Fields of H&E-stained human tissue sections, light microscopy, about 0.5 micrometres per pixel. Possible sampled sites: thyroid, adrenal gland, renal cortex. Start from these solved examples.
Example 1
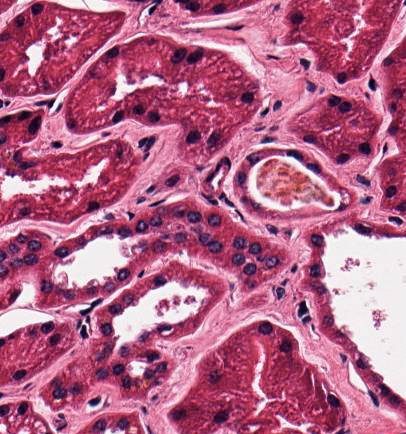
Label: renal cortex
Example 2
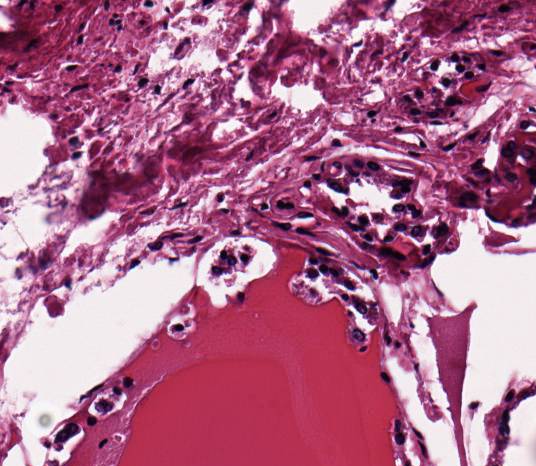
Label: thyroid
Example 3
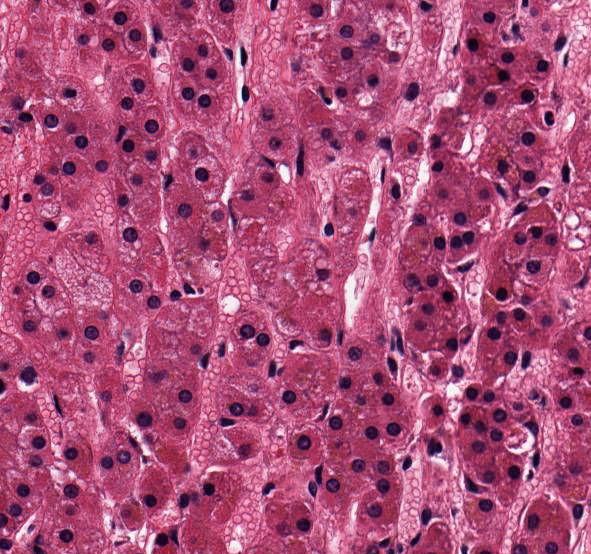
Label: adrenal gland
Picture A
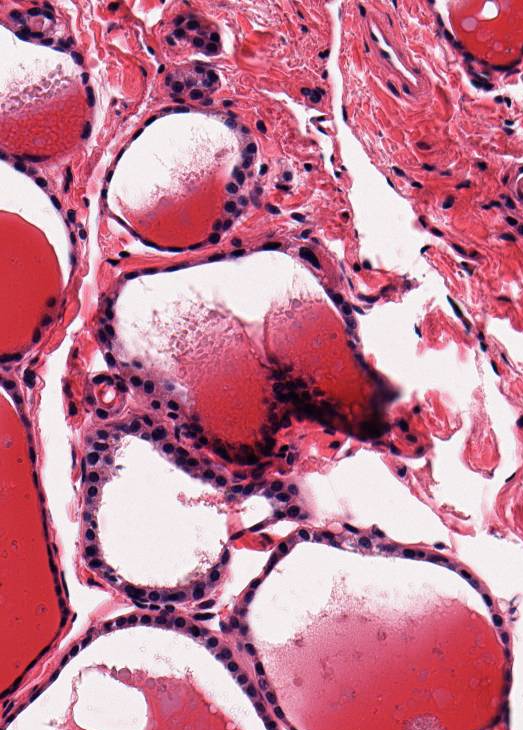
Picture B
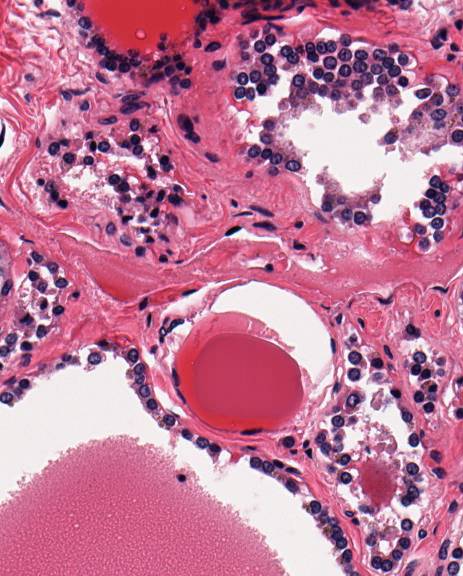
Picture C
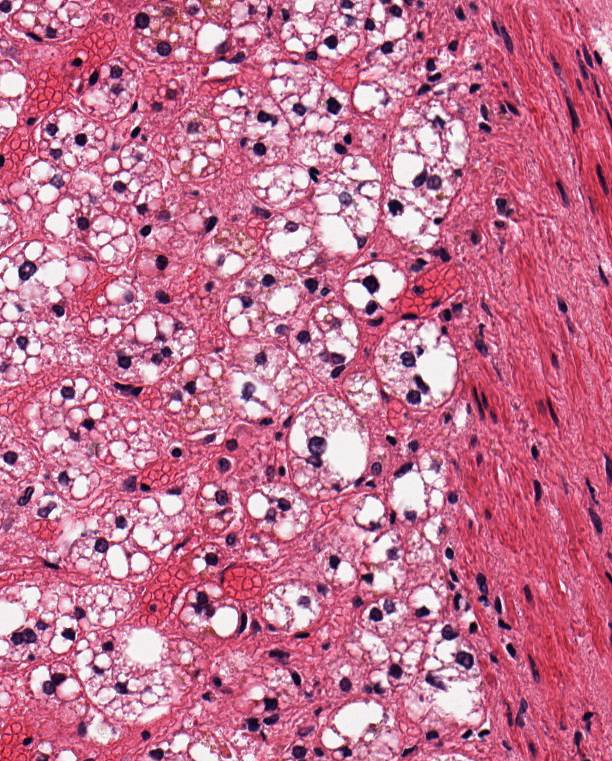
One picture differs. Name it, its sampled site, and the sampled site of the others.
Different: C, adrenal gland. Others: thyroid.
